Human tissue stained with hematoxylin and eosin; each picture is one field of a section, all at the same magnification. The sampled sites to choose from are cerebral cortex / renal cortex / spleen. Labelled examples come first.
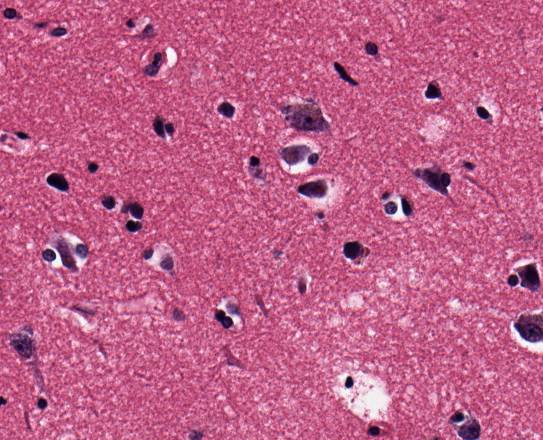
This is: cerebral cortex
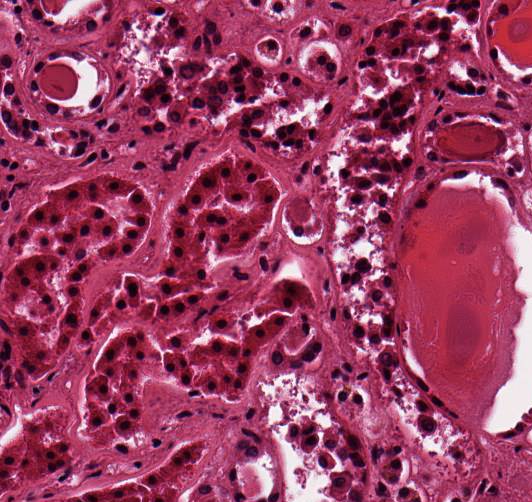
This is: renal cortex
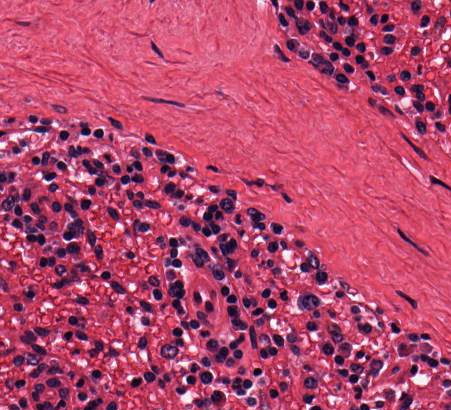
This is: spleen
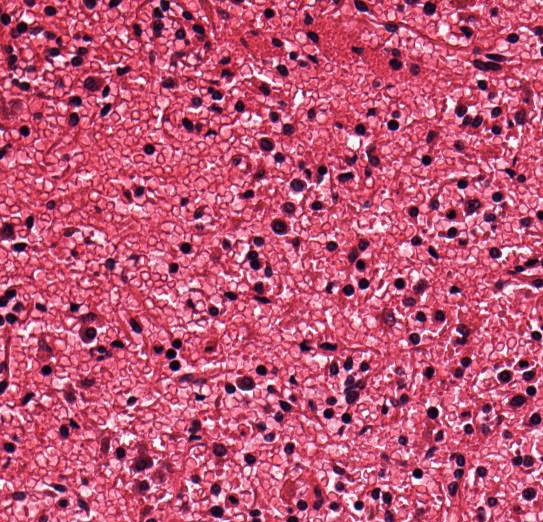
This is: spleen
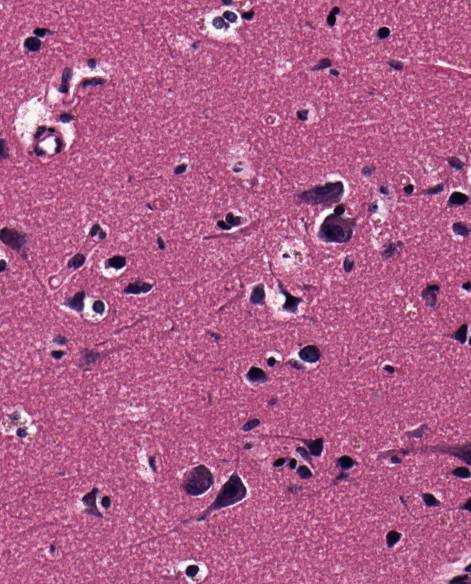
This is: cerebral cortex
